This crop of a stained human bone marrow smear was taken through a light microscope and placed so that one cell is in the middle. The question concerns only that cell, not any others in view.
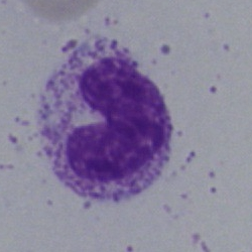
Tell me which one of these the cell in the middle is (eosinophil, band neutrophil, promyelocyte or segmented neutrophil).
band neutrophil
